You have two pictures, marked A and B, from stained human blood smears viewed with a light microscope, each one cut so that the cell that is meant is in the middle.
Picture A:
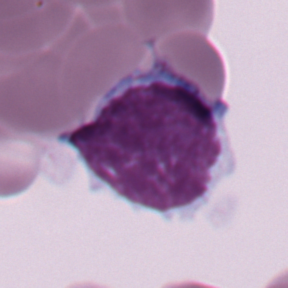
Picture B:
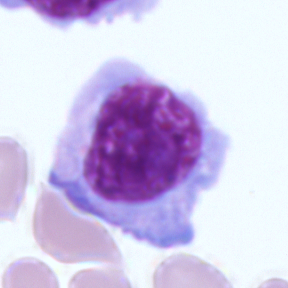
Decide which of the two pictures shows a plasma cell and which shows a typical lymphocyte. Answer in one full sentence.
The cell in picture A is a typical lymphocyte, and the one in picture B is a plasma cell.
